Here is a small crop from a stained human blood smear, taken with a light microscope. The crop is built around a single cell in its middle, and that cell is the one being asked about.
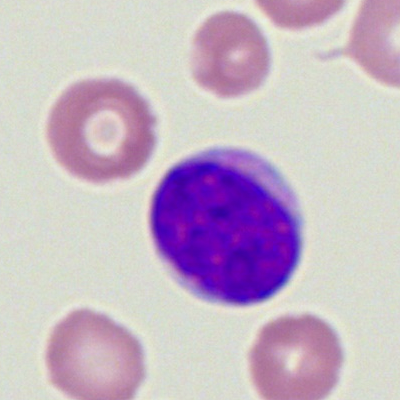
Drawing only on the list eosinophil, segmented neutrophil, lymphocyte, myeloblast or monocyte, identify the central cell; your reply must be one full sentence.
As for the cell in the middle, it is a lymphocyte.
